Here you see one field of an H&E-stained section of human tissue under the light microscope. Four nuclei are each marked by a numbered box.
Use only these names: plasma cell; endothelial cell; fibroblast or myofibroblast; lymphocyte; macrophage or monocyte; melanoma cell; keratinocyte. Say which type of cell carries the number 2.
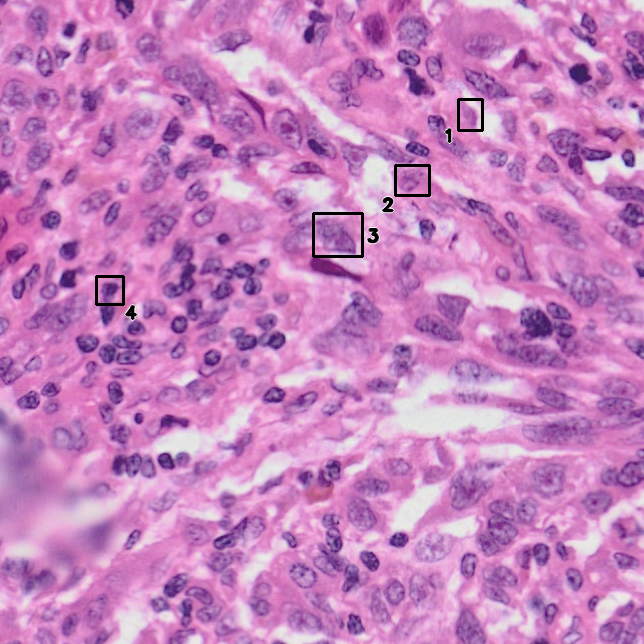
melanoma cell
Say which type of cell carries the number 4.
lymphocyte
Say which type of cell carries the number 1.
melanoma cell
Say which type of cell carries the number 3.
melanoma cell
